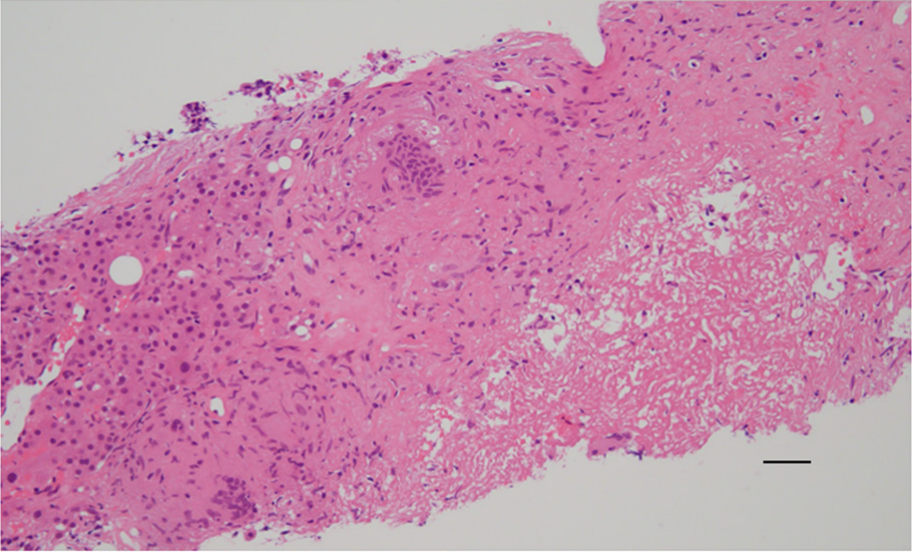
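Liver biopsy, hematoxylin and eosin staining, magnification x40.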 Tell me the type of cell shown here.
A: Multinucleated giant cells.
